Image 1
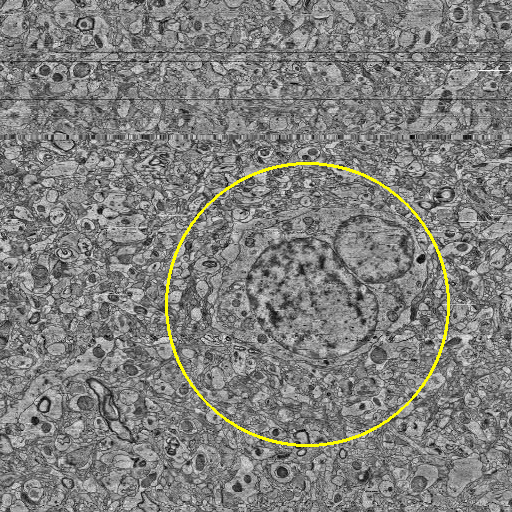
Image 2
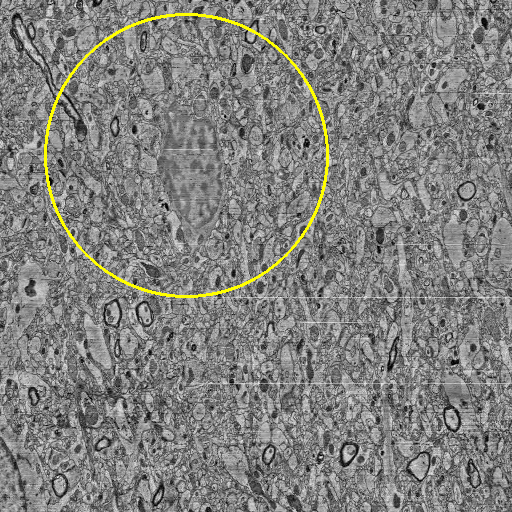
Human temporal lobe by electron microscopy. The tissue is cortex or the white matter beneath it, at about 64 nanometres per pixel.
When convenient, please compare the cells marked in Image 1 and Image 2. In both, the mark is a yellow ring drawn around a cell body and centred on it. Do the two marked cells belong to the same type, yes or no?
no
